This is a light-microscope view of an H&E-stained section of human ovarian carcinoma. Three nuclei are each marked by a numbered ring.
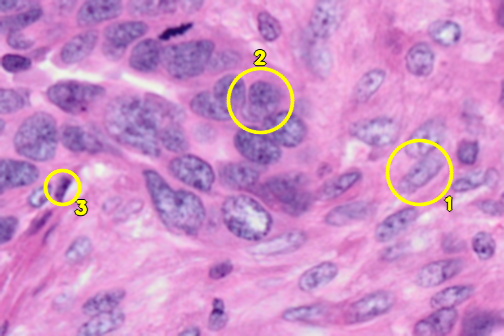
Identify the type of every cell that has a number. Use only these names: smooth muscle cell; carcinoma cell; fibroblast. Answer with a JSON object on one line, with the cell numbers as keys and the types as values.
{"1": "fibroblast", "2": "carcinoma cell", "3": "fibroblast"}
